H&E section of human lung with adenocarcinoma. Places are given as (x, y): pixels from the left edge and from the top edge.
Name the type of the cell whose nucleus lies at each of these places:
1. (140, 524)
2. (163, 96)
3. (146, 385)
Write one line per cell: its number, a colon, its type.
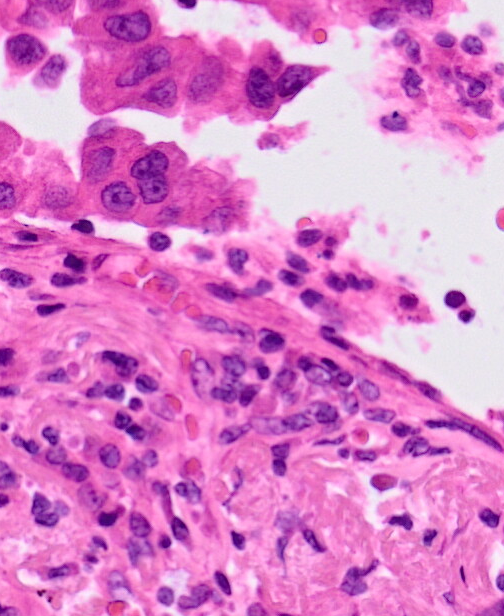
1: plasma cell
2: carcinoma cell
3: lymphocyte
